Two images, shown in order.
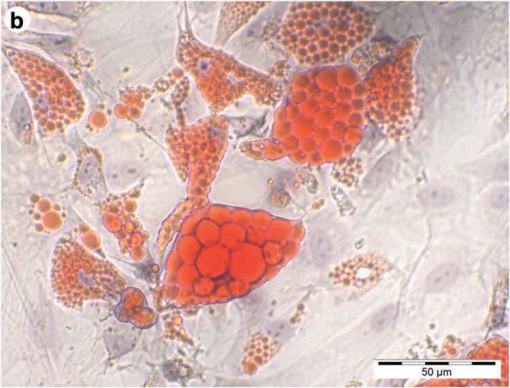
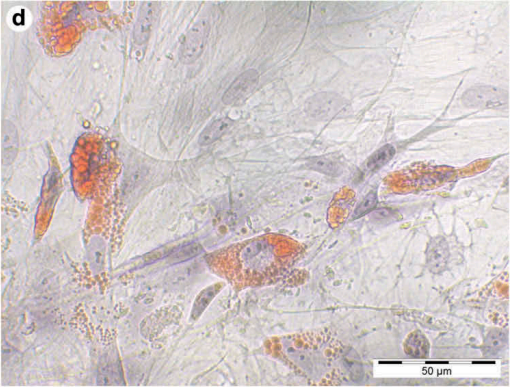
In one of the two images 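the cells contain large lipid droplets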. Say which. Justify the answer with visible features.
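The first image. Second image: few cells hold mostly small orange-red droplets among many unstained flat cells.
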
